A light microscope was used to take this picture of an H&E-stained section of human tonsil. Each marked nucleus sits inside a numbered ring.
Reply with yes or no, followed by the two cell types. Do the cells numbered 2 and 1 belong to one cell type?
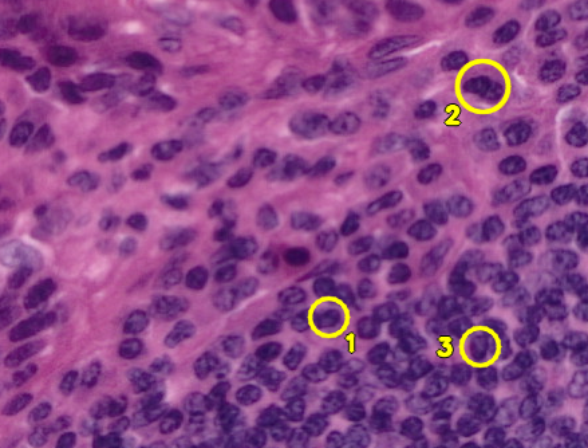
Yes, cells 2 and 1 both count as plasma cells.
